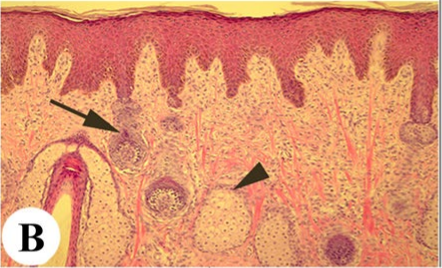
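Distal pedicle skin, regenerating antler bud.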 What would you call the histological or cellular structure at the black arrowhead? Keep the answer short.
Sebaceous glands.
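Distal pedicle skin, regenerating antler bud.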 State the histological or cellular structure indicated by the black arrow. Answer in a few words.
Developing hair follicles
